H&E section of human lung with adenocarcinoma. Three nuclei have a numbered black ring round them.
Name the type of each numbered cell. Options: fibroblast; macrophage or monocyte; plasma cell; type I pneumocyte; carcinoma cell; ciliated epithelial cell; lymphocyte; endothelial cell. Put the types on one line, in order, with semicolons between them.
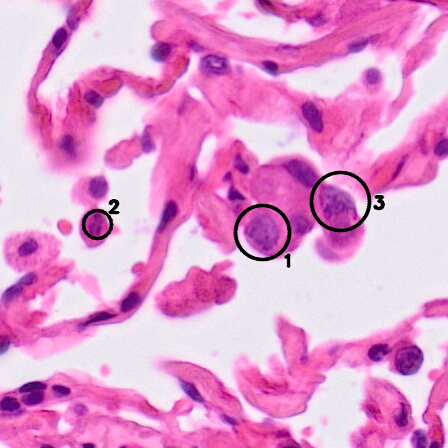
carcinoma cell; macrophage or monocyte; carcinoma cell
